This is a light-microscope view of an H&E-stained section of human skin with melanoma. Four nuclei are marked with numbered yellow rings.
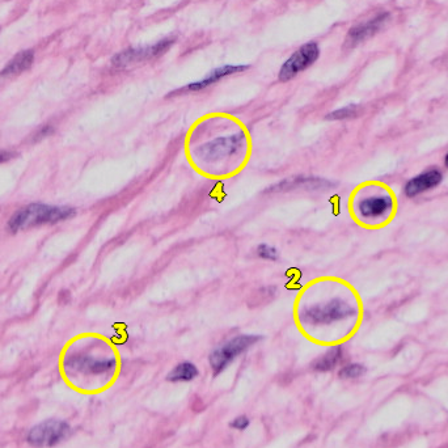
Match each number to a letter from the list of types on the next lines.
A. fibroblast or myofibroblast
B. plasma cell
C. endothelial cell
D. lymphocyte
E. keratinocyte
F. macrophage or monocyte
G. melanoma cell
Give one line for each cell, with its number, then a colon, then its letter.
1: D
2: A
3: A
4: A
